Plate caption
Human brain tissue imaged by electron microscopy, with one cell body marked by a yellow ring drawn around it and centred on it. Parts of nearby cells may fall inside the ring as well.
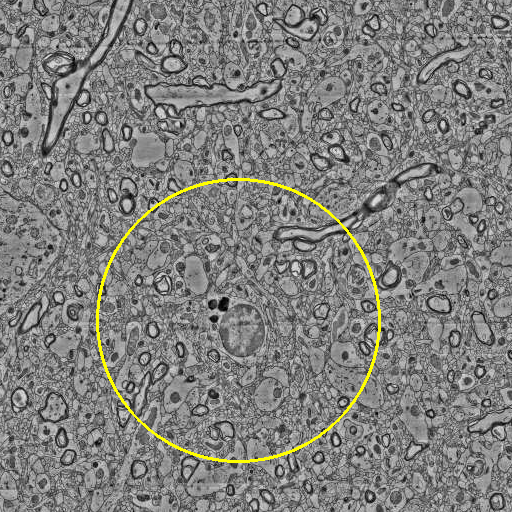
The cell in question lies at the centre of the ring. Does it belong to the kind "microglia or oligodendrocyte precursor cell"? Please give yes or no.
Yes, it belongs to that kind.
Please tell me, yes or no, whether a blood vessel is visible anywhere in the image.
No.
